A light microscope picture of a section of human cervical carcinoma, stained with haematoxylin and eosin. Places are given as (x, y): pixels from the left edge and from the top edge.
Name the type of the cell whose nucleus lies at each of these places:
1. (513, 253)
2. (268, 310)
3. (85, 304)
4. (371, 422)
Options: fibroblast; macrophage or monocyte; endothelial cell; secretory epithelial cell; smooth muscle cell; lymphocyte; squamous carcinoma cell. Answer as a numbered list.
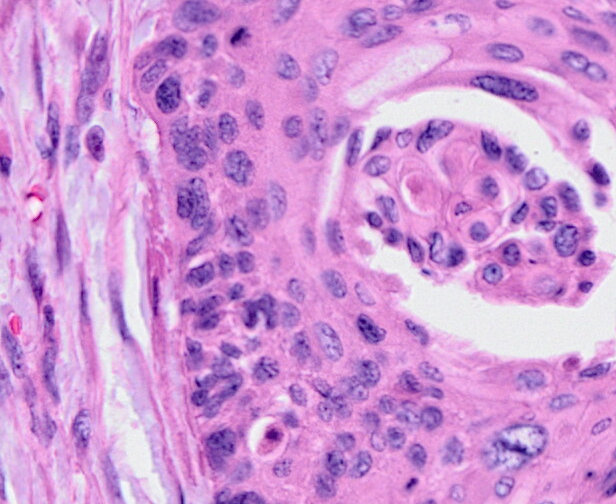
1. squamous carcinoma cell
2. squamous carcinoma cell
3. fibroblast
4. squamous carcinoma cell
